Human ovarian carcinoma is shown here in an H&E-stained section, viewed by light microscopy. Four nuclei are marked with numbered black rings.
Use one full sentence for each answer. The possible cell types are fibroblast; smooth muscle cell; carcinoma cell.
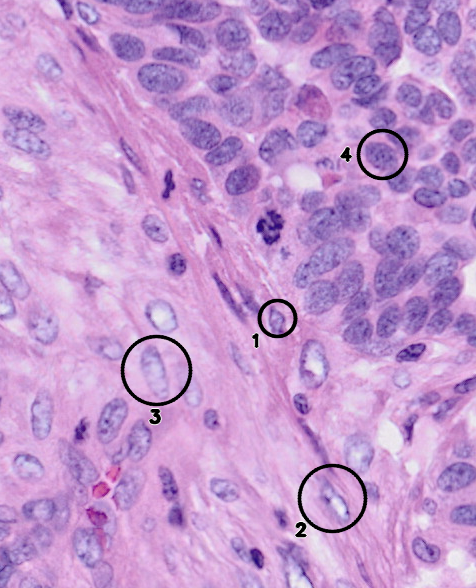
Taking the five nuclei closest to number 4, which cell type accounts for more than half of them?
Most of the five nuclei nearest to number 4 are those of carcinoma cells.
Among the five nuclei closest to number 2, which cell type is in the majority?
The majority of the five nuclei closest to number 2 belong to fibroblasts.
